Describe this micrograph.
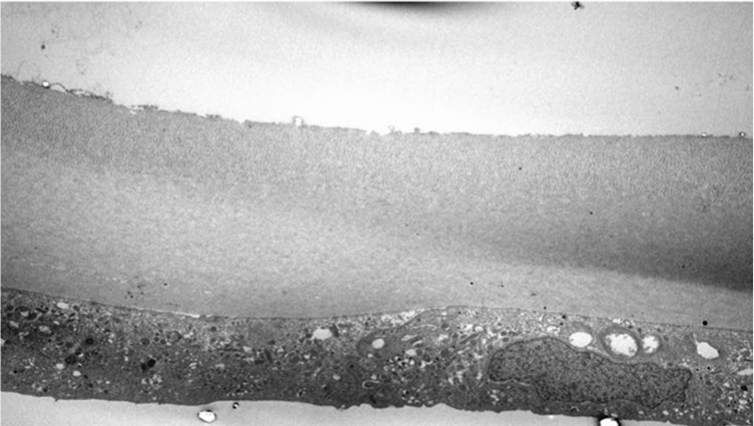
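Descemet’s membrane and the corneal endothelial layer, with no stroma on top. A thick, finely textured, homogeneous acellular membrane has a bare, smooth upper surface. A single thin layer of flattened endothelial cells lines its lower side. These cells have an elongated nucleus and dense cytoplasm with many small vesicles and a few clear vacuoles.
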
